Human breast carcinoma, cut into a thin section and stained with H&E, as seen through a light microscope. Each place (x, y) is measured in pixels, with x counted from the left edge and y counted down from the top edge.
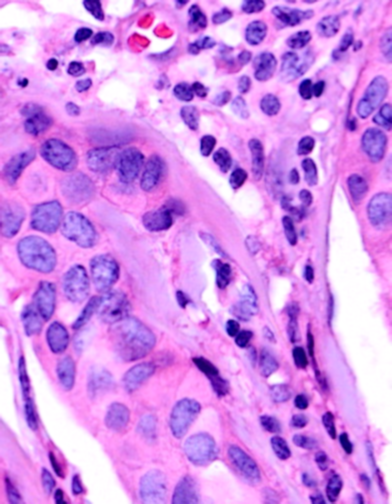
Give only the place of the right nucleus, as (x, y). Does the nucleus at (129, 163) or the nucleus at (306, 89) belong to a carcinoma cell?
(129, 163)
